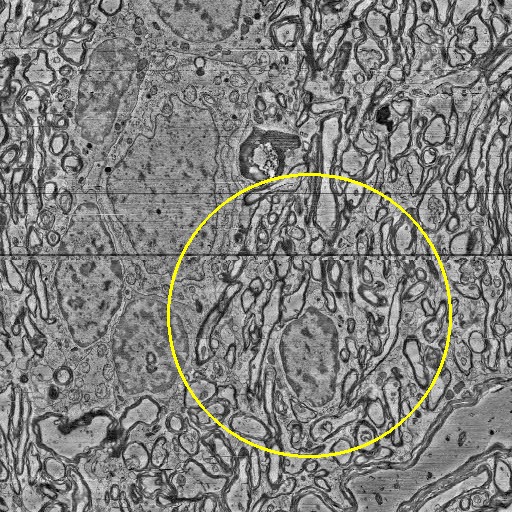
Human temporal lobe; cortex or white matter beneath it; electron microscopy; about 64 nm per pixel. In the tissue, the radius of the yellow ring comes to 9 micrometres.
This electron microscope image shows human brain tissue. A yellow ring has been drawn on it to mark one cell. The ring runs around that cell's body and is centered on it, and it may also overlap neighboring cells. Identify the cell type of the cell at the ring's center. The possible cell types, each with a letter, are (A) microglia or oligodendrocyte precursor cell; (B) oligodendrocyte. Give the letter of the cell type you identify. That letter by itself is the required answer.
A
